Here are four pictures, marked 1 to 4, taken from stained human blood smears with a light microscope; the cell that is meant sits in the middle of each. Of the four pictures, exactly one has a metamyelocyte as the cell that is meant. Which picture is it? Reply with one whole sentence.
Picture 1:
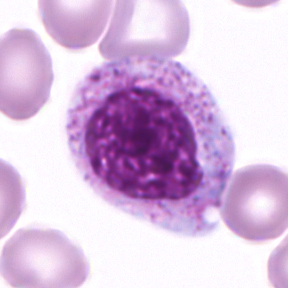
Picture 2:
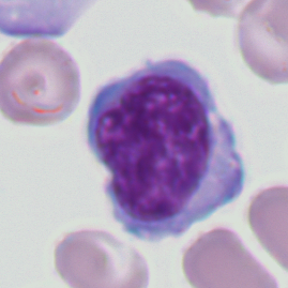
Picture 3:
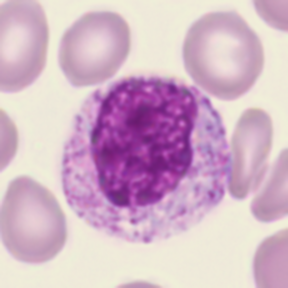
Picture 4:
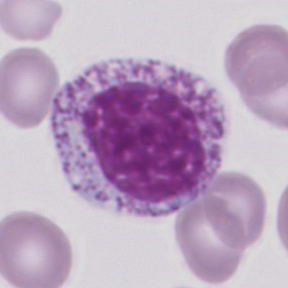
It is picture 3 that shows the metamyelocyte.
